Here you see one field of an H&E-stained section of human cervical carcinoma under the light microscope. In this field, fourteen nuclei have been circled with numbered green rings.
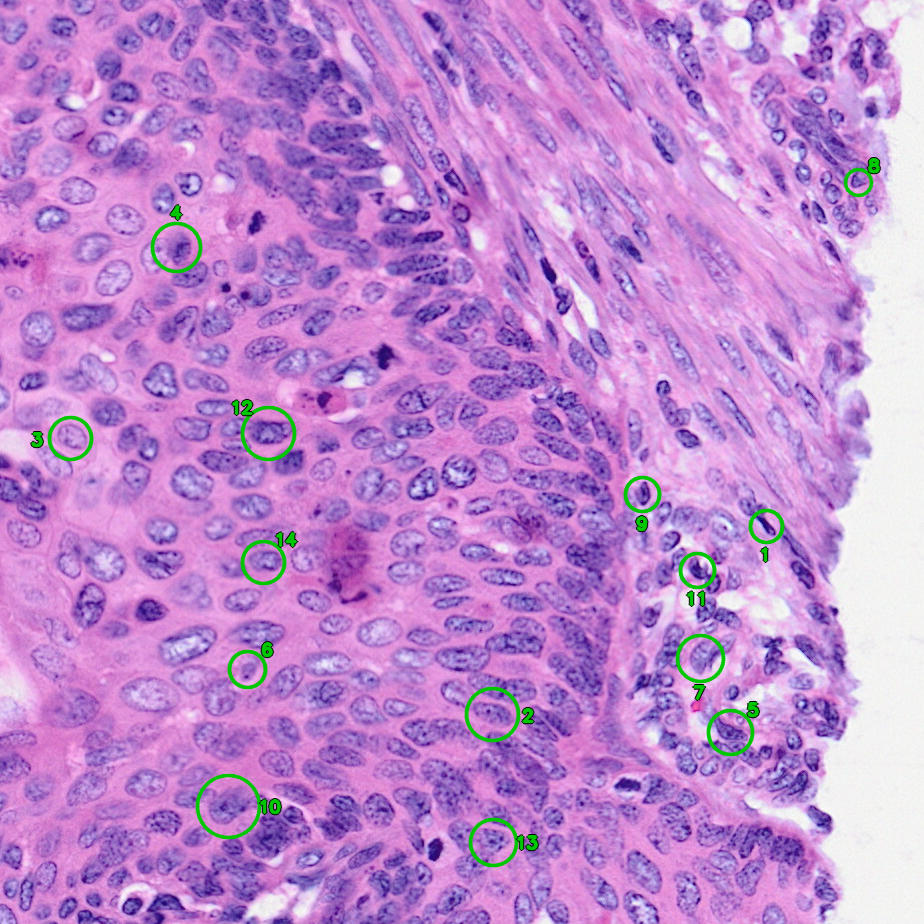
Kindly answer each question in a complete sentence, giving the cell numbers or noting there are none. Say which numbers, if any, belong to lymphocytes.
Cells 1, 9 and 11 are recognised here as lymphocytes.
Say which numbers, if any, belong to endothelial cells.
Cells 5, 7 and 8 are recognised here as endothelial cells.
